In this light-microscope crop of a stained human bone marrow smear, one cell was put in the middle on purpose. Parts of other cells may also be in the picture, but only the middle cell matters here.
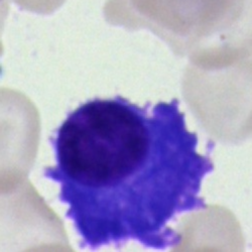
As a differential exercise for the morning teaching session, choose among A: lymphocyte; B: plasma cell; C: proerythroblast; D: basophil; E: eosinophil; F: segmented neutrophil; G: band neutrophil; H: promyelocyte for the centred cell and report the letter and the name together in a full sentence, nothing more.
With the cell in the middle being a plasma cell, option B is the correct choice.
